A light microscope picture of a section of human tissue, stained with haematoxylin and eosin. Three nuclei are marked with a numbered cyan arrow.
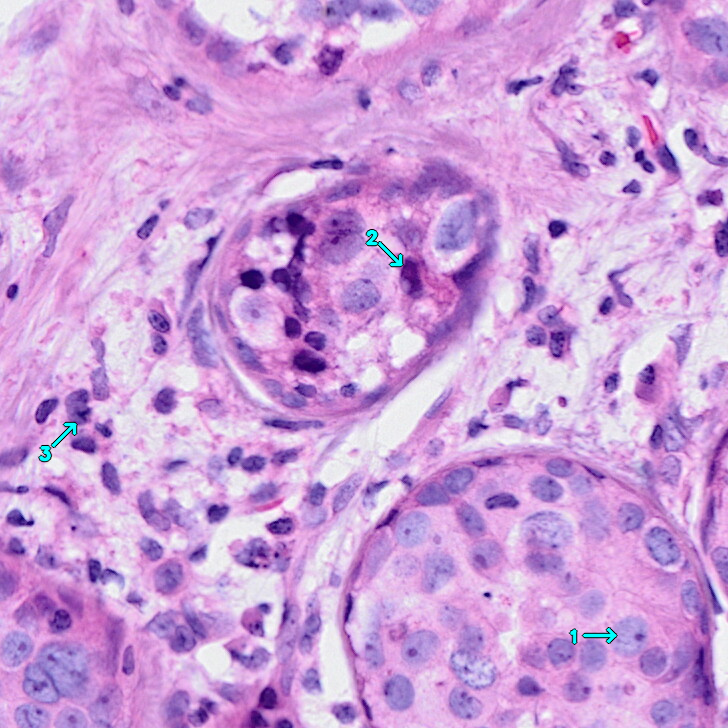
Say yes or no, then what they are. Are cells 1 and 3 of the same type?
No, cell 1 is a carcinoma cell and cell 3 is a lymphocyte.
